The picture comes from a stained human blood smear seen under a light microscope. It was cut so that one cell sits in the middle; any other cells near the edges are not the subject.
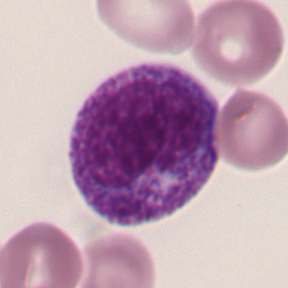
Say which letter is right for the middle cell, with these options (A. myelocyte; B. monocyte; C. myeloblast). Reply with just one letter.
A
